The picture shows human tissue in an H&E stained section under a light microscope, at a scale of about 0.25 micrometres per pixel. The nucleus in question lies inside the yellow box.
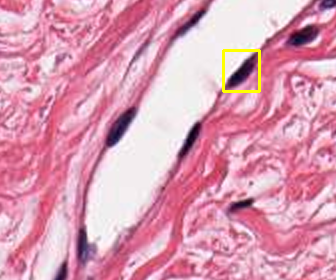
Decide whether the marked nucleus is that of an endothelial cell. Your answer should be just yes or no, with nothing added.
yes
